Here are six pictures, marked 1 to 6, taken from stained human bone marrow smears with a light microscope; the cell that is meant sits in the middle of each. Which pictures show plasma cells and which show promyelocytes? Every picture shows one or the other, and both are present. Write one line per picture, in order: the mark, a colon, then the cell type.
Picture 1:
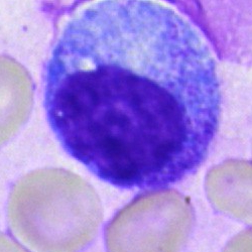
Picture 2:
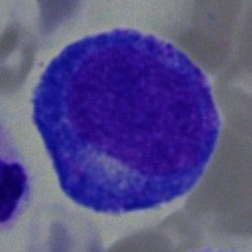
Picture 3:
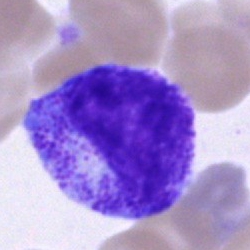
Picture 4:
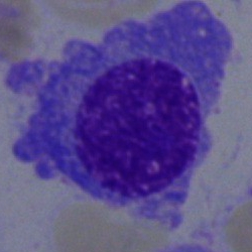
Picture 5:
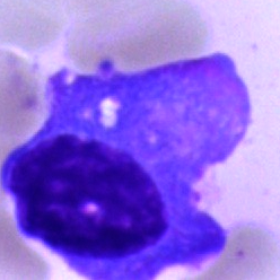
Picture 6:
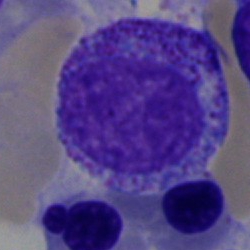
1: promyelocyte
2: promyelocyte
3: promyelocyte
4: plasma cell
5: plasma cell
6: promyelocyte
